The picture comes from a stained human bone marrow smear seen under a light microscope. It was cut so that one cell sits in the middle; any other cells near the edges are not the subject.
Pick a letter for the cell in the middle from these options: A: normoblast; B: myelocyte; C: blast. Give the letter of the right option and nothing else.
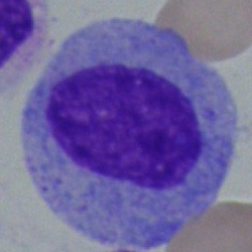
B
